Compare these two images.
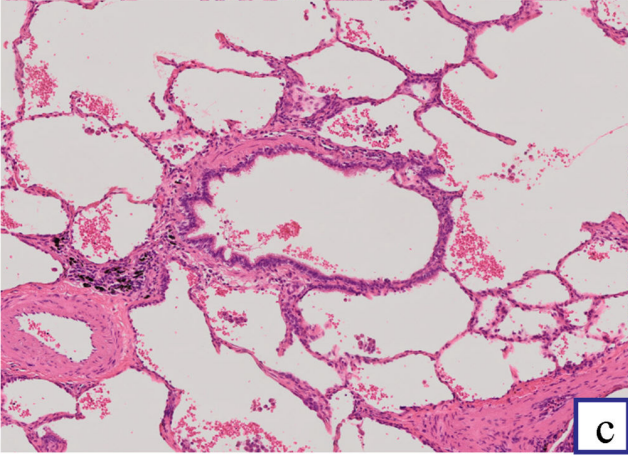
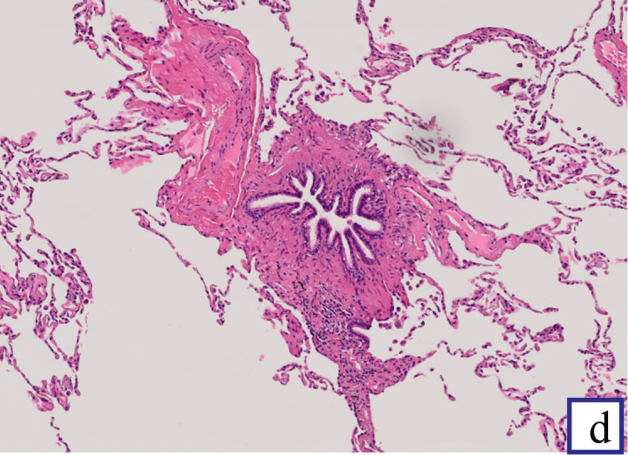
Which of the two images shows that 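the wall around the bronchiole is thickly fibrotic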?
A: The second image.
